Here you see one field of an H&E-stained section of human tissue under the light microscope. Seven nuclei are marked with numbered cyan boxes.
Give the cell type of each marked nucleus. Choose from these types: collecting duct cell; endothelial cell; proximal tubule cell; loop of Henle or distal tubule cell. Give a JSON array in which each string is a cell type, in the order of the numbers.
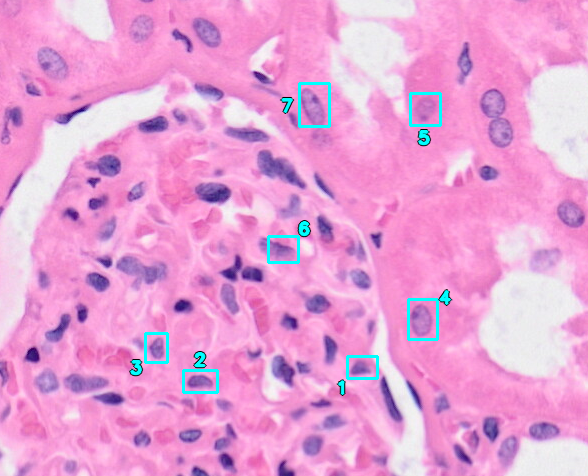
["endothelial cell", "endothelial cell", "endothelial cell", "proximal tubule cell", "proximal tubule cell", "endothelial cell", "proximal tubule cell"]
